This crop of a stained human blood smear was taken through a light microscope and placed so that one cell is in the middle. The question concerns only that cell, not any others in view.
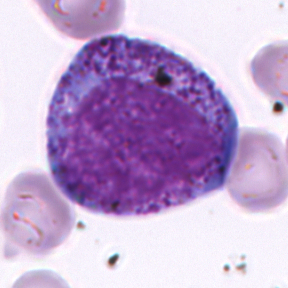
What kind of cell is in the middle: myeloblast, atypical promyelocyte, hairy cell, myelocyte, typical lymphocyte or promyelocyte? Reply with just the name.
promyelocyte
